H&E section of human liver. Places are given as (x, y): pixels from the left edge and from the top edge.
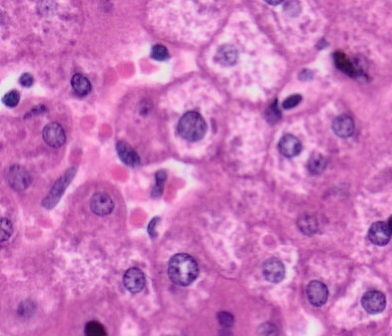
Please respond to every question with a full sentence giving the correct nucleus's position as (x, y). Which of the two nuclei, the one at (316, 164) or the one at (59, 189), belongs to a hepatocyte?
The nucleus at (316, 164) is contained in a hepatocyte.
